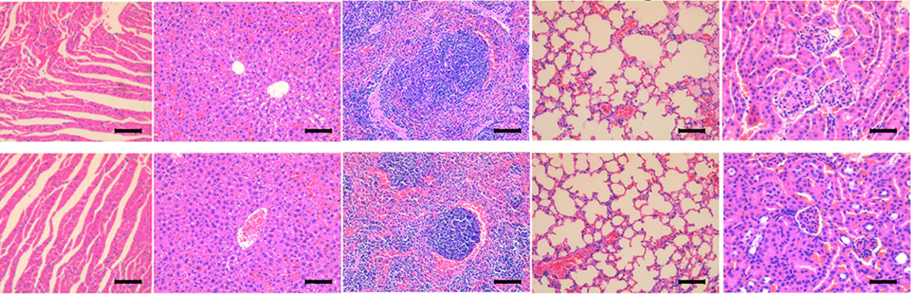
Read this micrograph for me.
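Two rows of five pink-and-purple stained sections show heart, liver, spleen, lung and kidney side by side. The heart shows long parallel bands of pink muscle fibres with small elongated nuclei, and the liver shows sheets of polygonal cells with round nuclei around small vessels. The spleen shows a dense purple nodule of small round lymphoid cells within looser red-stained tissue, and the lung shows thin-walled air spaces separated by narrow septa. The kidney shows round glomeruli surrounded by tubules lined by cuboidal cells.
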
